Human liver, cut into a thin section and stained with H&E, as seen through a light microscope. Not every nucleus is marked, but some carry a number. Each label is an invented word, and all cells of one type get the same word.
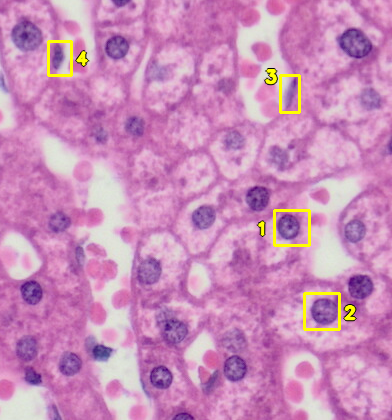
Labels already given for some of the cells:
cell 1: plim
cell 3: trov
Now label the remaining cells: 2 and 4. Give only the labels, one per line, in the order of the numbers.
plim
trov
